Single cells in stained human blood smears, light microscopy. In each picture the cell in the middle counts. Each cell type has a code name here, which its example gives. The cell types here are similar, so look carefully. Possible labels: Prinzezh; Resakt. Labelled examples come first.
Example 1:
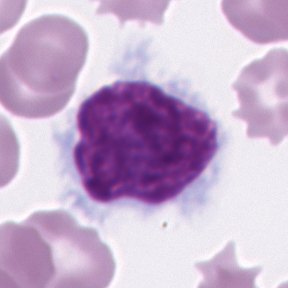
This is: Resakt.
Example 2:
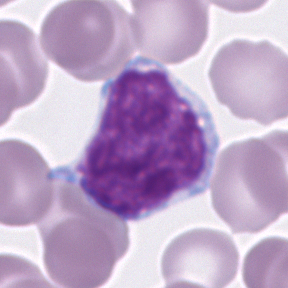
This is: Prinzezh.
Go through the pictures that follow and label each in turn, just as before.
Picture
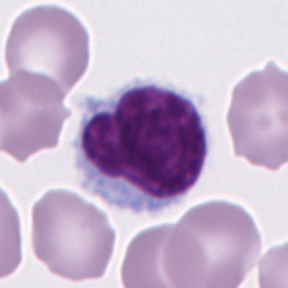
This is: Resakt.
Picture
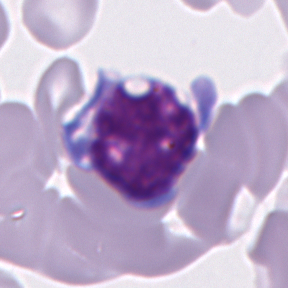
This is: Prinzezh.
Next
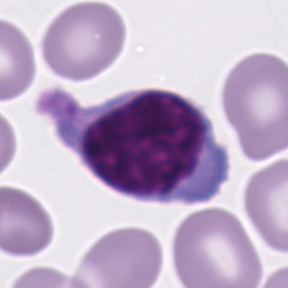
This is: Prinzezh.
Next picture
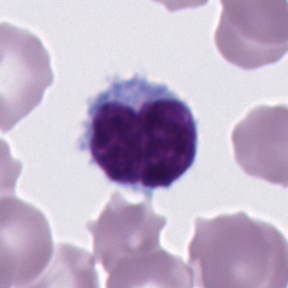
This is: Resakt.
